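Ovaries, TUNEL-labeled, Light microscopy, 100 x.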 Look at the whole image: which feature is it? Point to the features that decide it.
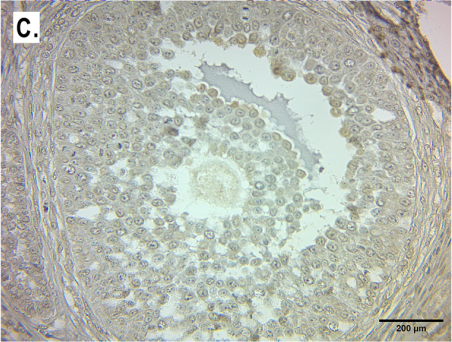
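A large crescent-shaped cavity lies within a thick multilayered wall of rounded cells. An oocyte surrounded by a mound of cells sits beside the cavity. A thin rim of flattened cells bounds the follicle.
Hence: tertiary follicles.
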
